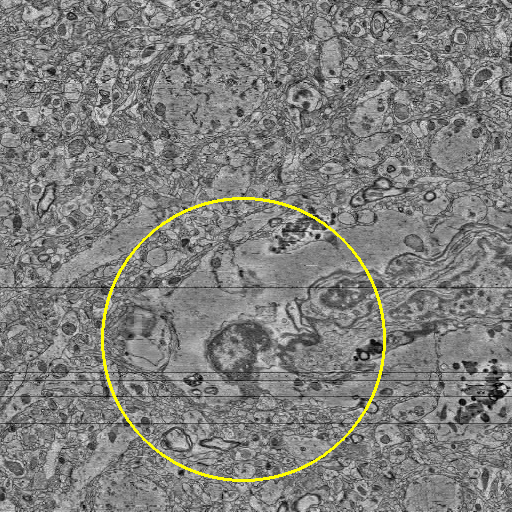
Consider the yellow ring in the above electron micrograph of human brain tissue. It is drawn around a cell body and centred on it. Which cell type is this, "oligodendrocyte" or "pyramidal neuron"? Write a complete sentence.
The cell in question is an oligodendrocyte.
